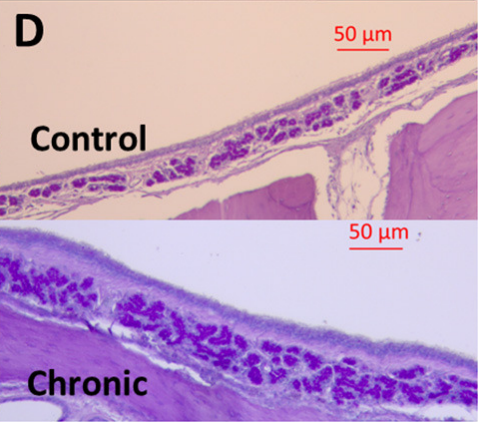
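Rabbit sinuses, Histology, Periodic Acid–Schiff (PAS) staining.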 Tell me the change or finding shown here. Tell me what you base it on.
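Increased submucous glandular density with hypertrophy. Magenta-purple glandular clusters lie beneath the surface epithelium in both strips. In the lower strip the magenta clusters are larger and more tightly packed. The lower strip's mucosa is thicker than the upper strip's.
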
